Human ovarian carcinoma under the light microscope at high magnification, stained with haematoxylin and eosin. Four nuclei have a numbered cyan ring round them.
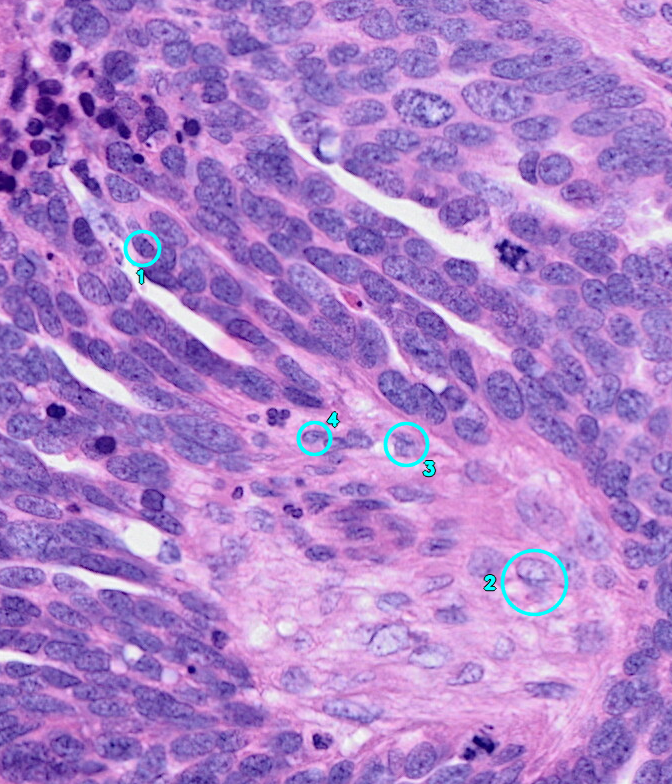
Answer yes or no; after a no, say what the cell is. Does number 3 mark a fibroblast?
Yes.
